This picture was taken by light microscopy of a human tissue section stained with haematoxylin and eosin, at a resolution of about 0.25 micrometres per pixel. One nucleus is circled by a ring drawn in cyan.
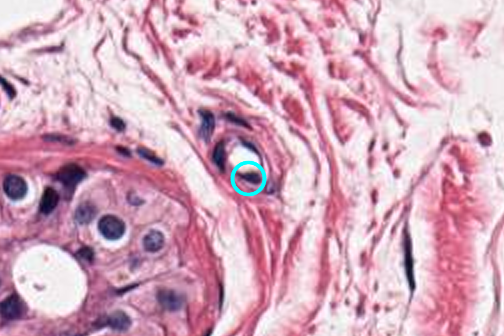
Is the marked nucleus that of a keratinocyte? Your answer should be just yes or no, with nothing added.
no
